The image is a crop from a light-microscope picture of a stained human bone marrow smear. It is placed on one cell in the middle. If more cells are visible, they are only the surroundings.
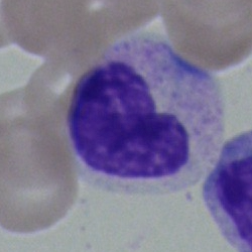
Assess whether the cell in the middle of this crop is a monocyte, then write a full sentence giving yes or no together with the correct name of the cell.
No, the cell positioned in the middle is a metamyelocyte, not a monocyte.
